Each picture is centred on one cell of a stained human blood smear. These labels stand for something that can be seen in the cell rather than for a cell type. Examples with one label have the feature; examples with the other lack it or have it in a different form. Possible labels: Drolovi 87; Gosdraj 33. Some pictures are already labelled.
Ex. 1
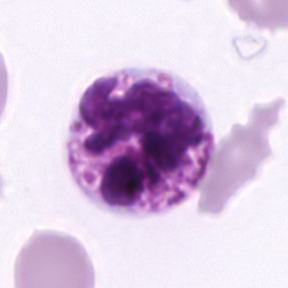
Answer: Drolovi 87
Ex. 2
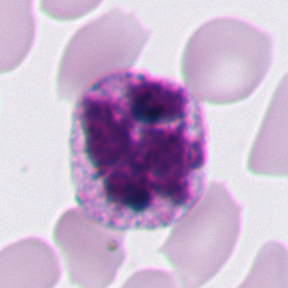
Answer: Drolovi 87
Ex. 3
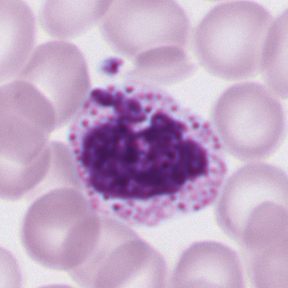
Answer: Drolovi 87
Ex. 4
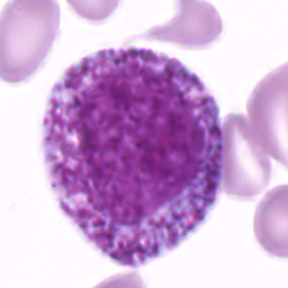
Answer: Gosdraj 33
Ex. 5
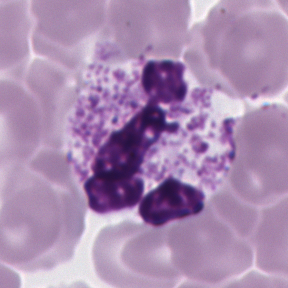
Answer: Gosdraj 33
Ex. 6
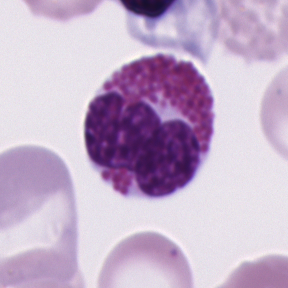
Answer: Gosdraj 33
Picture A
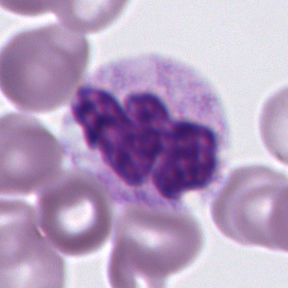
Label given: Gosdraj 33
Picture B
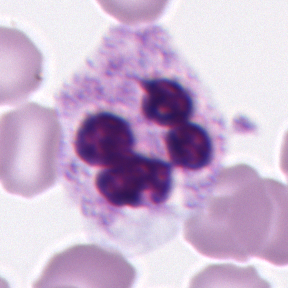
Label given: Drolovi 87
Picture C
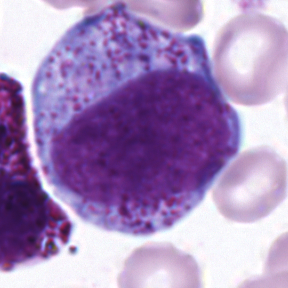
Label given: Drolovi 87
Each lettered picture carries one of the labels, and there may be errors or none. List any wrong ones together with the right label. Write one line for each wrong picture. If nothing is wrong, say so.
Wrong: A (Gosdraj 33); correct: Drolovi 87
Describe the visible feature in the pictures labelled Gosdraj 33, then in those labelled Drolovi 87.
Seen in Gosdraj 33: coarse or large granules; seen in Drolovi 87: fine or small granules.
